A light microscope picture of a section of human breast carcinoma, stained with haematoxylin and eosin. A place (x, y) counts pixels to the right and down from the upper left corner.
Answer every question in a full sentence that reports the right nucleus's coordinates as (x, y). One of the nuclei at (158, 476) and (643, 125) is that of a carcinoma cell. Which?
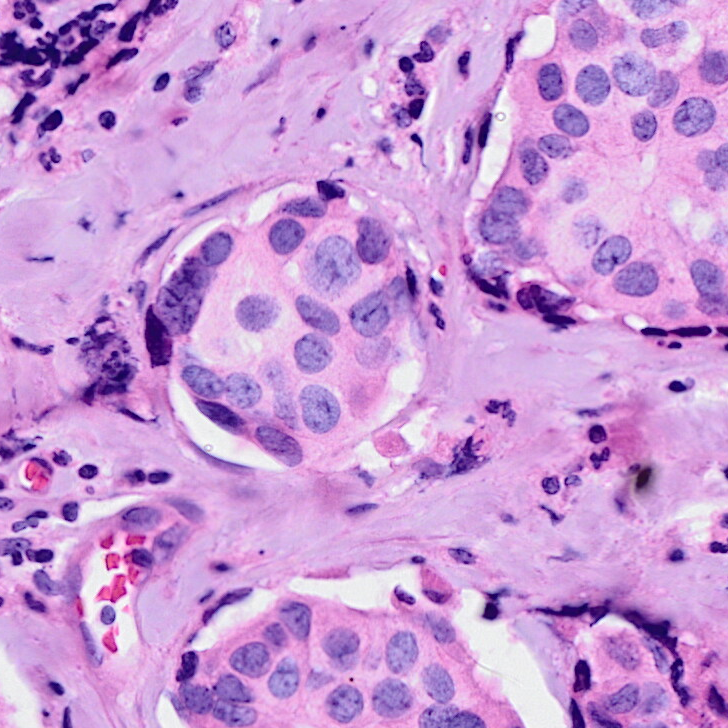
So, of the two, the nucleus at (643, 125) is the one belonging to a carcinoma cell.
